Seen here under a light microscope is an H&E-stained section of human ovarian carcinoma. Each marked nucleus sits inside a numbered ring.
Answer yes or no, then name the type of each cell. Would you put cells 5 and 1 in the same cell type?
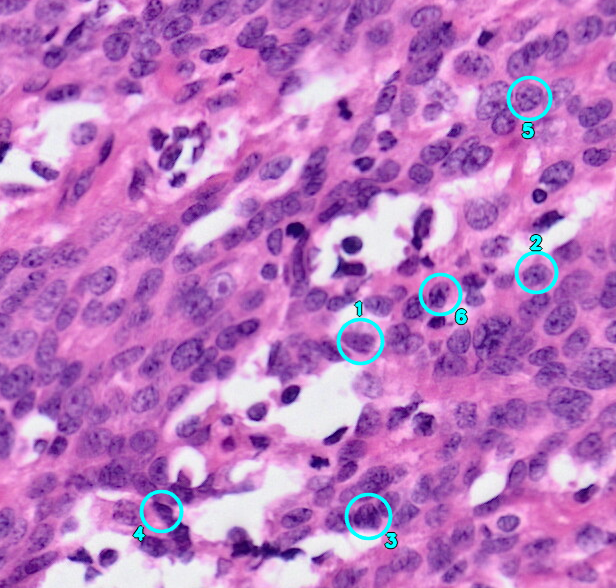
Yes, both are carcinoma cells.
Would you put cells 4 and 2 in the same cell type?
Yes, both are macrophages or monocytes.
